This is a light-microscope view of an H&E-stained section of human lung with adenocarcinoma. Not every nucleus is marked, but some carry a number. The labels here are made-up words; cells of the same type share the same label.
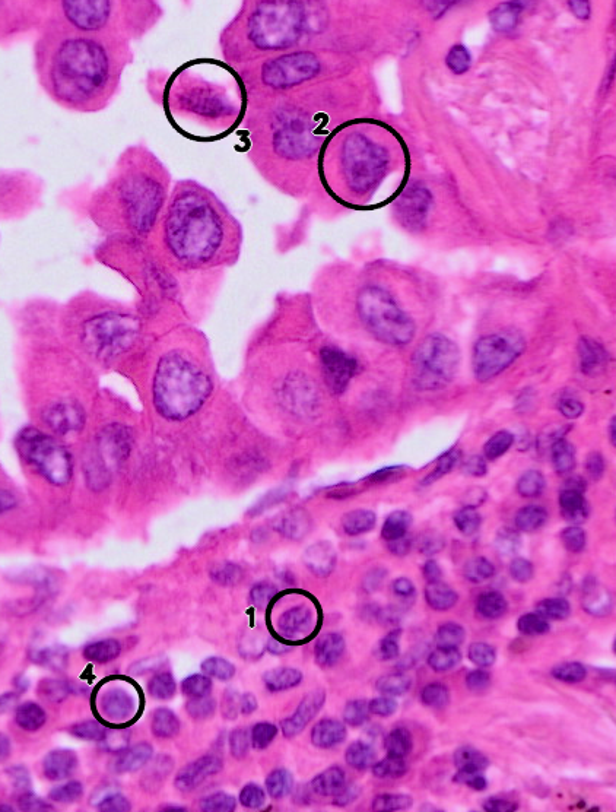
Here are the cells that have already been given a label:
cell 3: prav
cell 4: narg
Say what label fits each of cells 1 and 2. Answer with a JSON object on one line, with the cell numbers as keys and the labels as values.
{"1": "narg", "2": "prav"}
